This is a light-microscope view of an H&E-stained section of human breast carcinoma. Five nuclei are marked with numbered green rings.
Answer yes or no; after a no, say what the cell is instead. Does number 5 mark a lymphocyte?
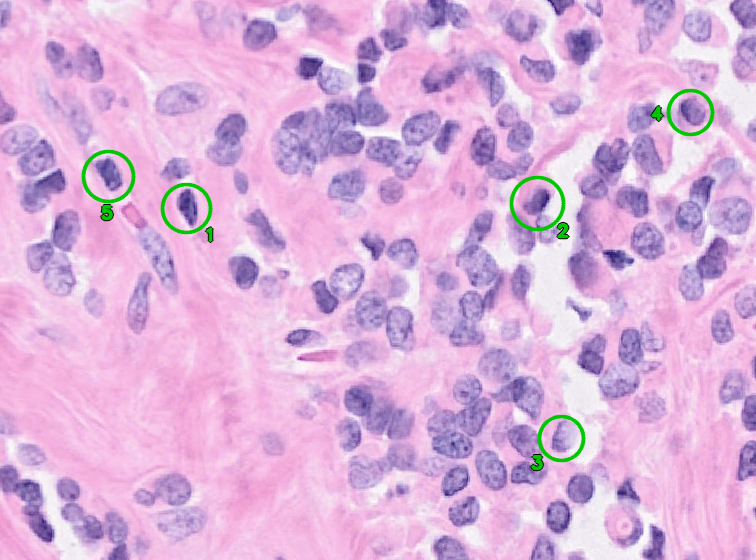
Yes.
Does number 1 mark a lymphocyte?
Yes.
